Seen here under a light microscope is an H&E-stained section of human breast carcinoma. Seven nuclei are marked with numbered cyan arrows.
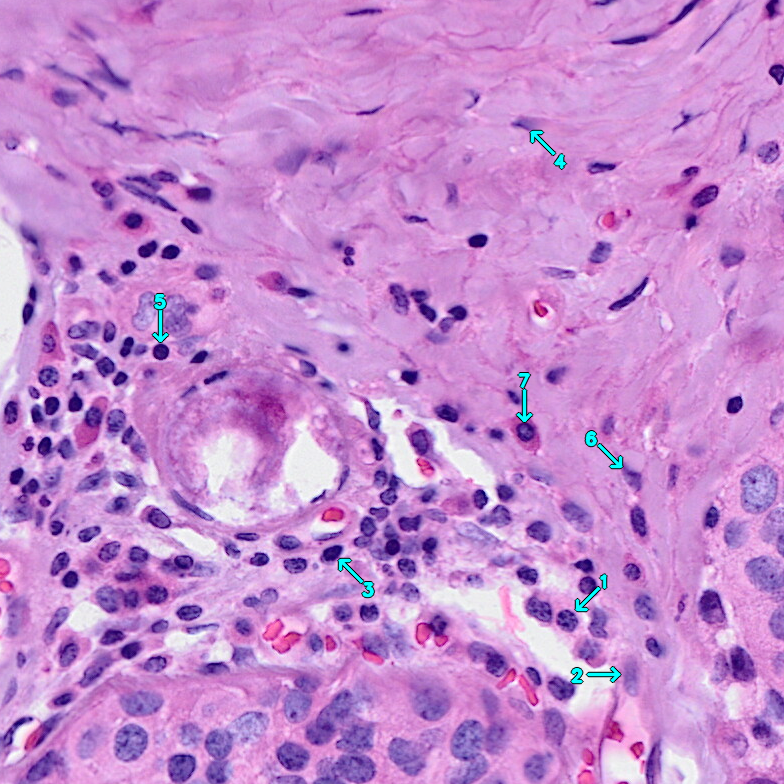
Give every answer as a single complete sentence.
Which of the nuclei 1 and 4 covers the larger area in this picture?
Of the two, number 1 is bigger and takes up about 2 times the area of number 4.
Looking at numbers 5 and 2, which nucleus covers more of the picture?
Nucleus 2 is the larger one, covering about 2 times the area of nucleus 5.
